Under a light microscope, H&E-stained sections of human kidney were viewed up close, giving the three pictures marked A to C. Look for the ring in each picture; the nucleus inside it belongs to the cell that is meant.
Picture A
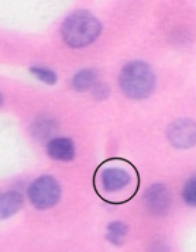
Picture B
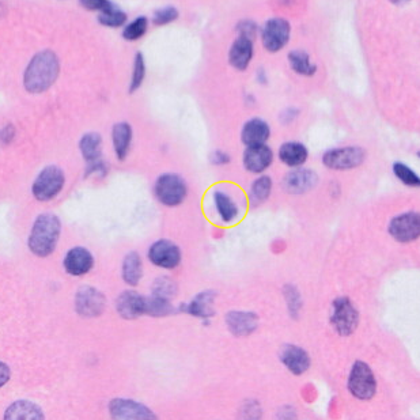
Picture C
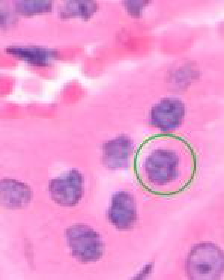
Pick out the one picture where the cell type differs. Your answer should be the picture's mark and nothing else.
C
